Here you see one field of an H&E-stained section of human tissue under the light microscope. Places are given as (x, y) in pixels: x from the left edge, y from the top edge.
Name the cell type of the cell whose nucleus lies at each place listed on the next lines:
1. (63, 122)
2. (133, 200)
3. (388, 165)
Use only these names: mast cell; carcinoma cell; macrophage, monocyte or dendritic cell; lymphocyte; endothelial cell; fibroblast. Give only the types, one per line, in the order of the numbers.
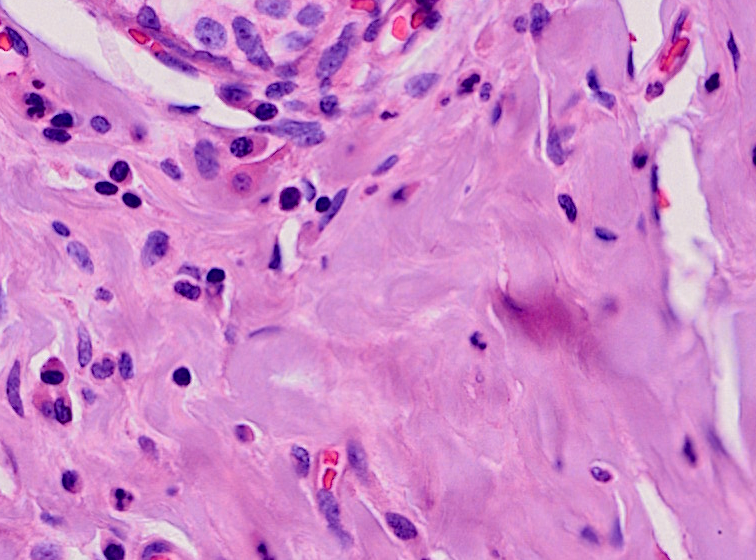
lymphocyte
lymphocyte
fibroblast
